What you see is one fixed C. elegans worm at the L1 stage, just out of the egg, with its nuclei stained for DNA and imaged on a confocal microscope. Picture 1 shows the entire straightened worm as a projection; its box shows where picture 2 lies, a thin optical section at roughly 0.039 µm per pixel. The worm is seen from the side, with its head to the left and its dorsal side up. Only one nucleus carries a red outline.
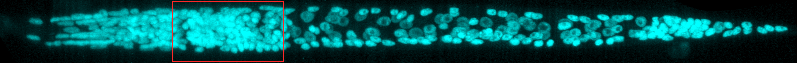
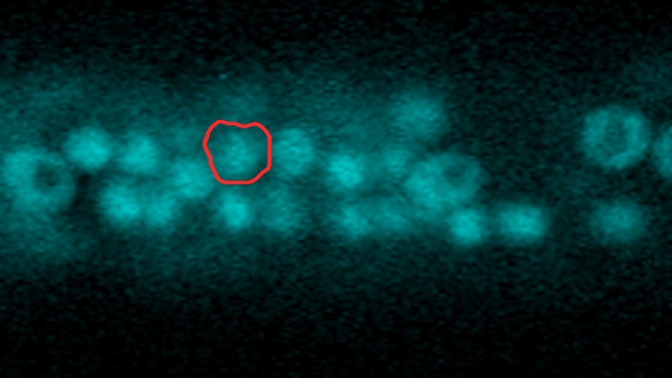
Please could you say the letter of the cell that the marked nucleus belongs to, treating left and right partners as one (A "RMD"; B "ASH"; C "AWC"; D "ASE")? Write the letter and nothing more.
B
